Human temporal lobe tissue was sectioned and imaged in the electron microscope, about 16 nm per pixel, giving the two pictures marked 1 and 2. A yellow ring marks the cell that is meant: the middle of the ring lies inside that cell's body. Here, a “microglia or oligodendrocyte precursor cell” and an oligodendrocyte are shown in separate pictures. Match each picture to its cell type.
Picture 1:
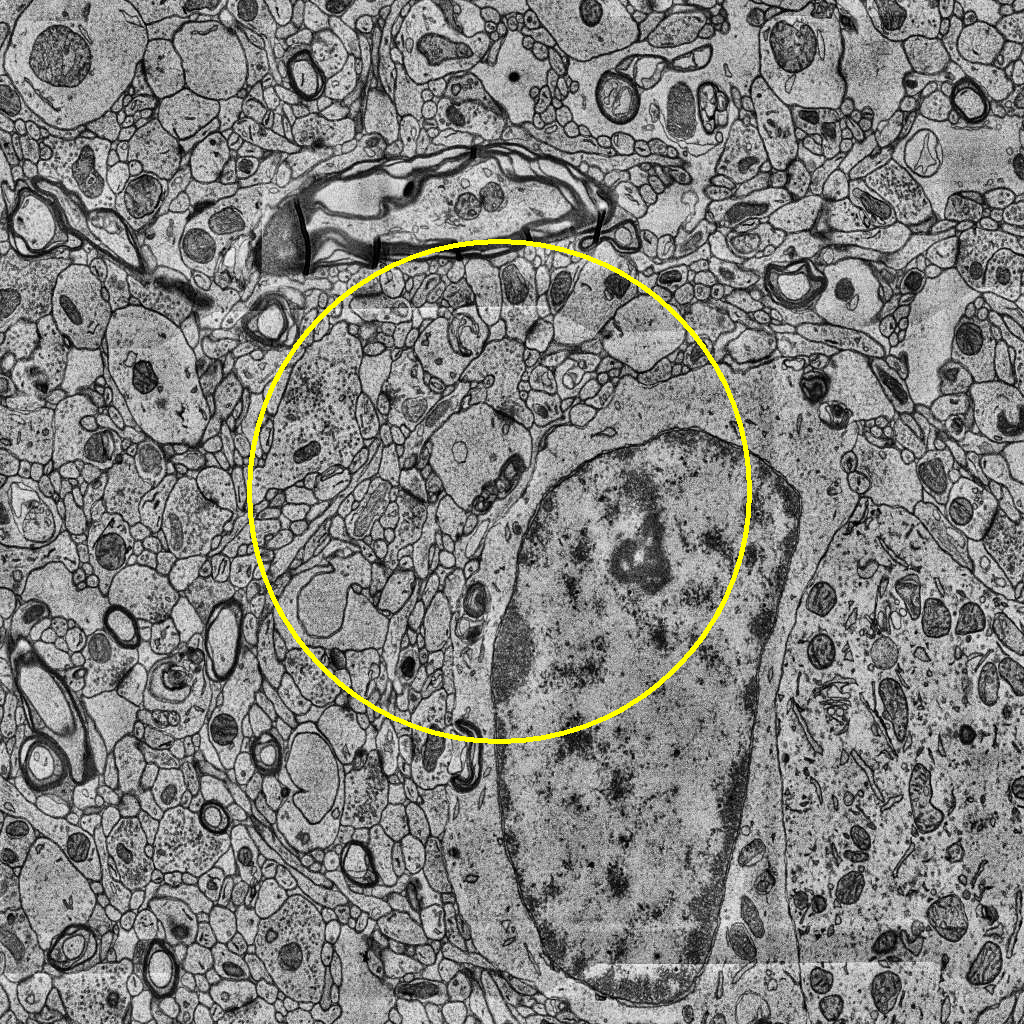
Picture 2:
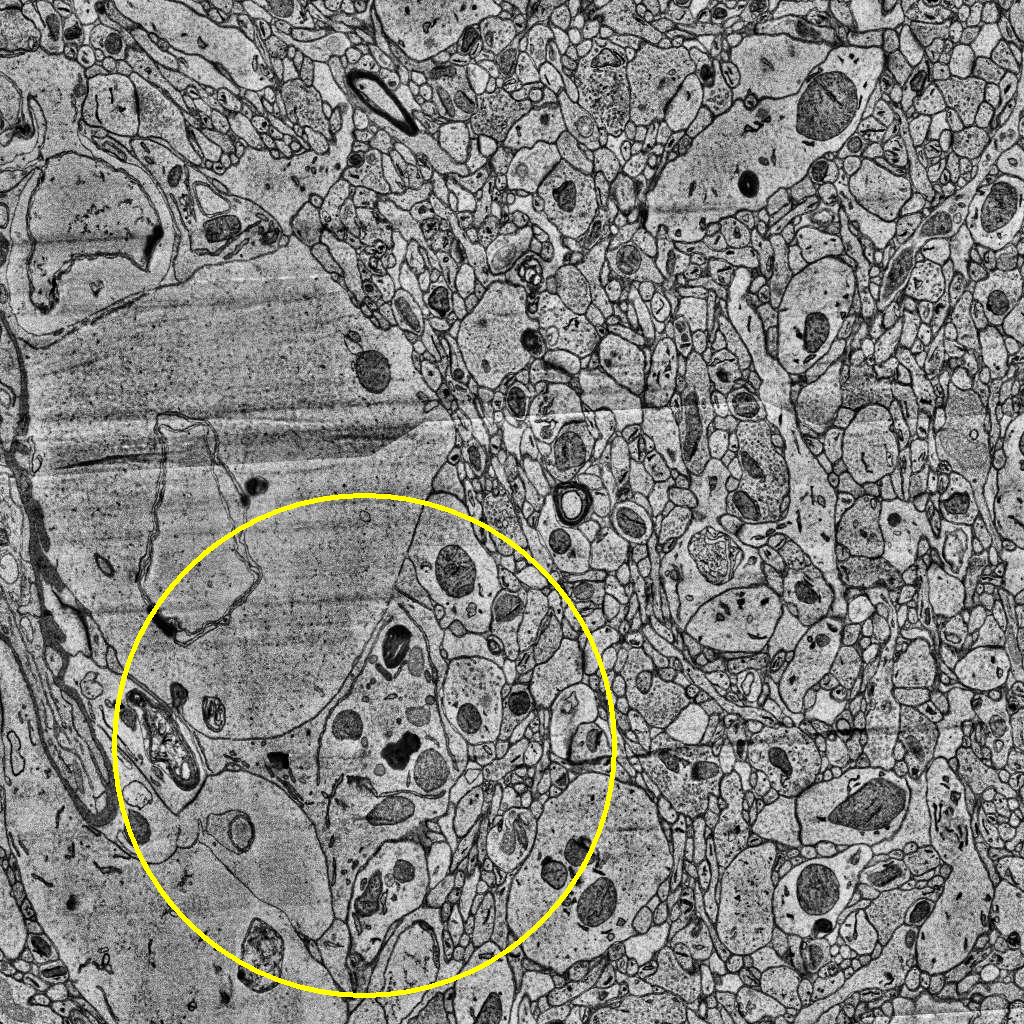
In picture 1 the cell is an oligodendrocyte; in picture 2, a “microglia or oligodendrocyte precursor cell”.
